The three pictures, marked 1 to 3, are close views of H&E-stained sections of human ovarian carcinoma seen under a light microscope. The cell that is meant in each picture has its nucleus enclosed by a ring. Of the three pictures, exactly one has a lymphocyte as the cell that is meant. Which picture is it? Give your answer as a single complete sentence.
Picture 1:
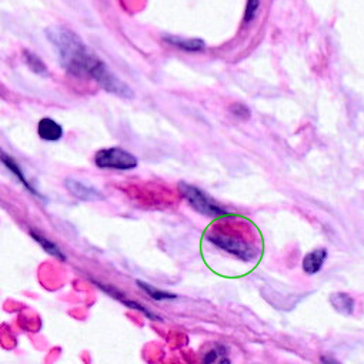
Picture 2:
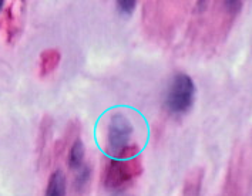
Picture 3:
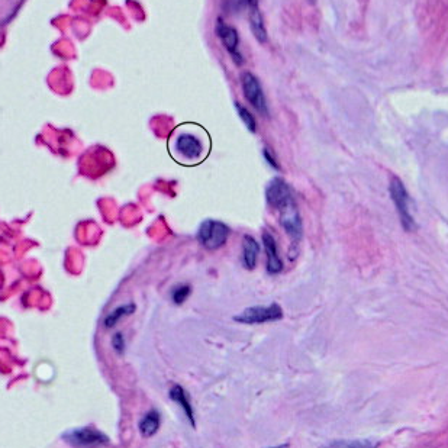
The cell in picture 3 is the lymphocyte.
